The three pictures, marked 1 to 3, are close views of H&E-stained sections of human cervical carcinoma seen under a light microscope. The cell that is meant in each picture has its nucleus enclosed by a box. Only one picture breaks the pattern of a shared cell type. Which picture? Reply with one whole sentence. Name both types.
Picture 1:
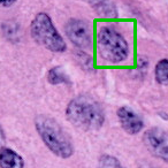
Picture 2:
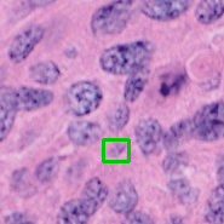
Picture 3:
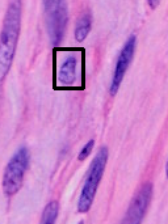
All pictures except 3 show squamous carcinoma cells; picture 3 shows a smooth muscle cell.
